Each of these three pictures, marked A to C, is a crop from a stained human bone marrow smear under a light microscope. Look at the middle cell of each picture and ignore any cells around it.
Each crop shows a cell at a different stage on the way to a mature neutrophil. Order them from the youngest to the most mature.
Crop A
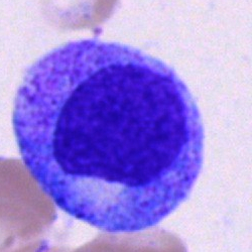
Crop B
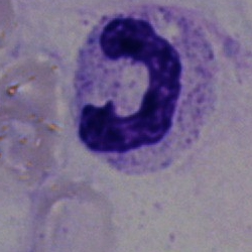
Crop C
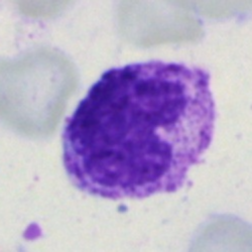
A, C, B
